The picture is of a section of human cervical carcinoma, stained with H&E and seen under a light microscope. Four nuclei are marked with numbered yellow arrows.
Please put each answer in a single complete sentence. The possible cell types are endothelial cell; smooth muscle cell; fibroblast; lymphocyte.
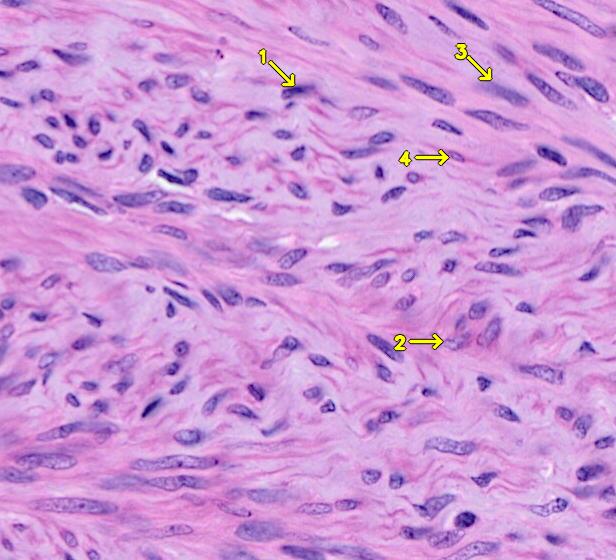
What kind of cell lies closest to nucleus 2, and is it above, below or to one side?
A smooth muscle cell lies closest, above nucleus 2.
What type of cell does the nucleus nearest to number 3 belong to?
Closest to number 3 lies the nucleus of a fibroblast.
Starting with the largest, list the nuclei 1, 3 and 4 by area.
Largest first, the order by area is 3, 1, 4.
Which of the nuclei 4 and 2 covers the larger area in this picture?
Nucleus 2 covers more area, about 2.5 times as much as nucleus 4.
